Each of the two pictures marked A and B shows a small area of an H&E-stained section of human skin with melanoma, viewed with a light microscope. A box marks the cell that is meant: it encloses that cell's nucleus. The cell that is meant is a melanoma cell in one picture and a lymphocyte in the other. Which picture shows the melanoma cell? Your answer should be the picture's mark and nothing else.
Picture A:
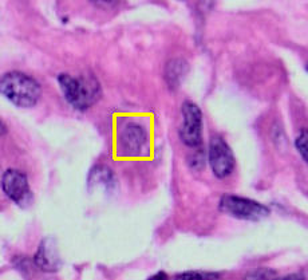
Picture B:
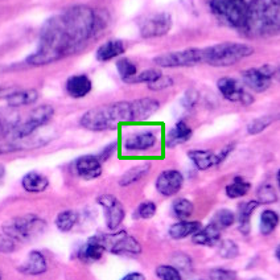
A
